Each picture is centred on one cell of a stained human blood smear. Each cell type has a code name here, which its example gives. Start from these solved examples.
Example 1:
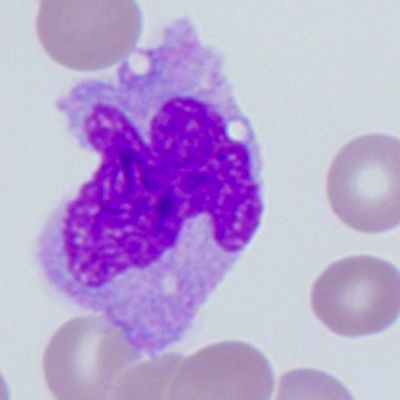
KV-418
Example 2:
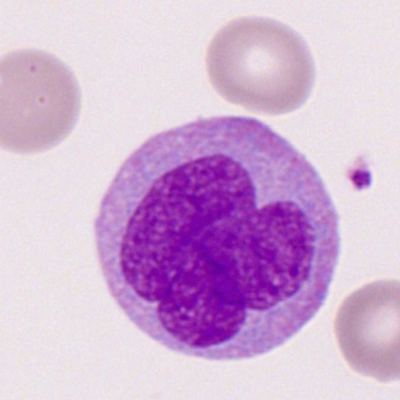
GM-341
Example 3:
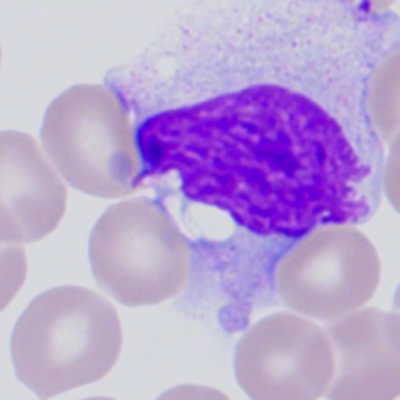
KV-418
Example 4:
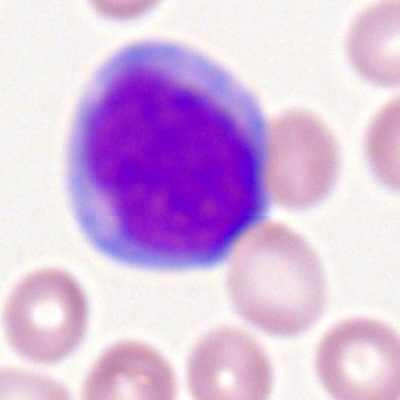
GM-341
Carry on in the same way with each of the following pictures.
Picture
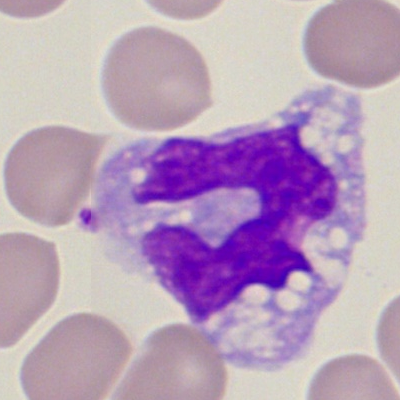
KV-418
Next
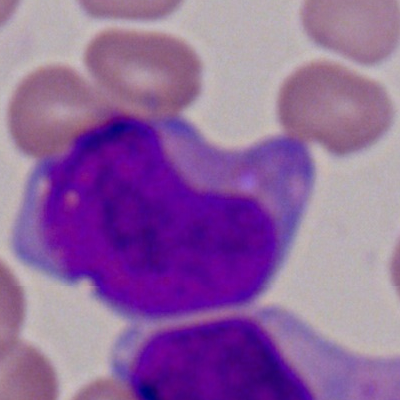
GM-341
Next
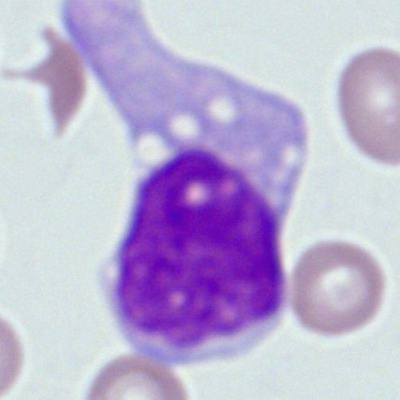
KV-418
